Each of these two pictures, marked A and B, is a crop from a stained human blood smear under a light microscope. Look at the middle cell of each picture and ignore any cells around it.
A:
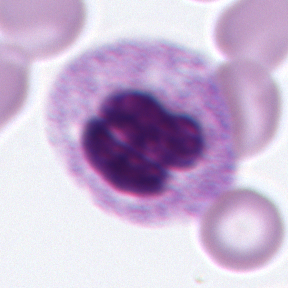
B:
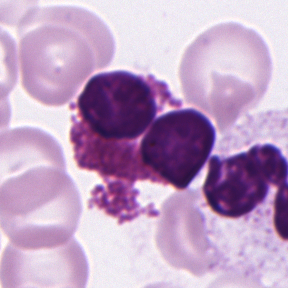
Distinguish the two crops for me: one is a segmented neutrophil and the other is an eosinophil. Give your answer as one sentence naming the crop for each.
At the centre of crop A lies a segmented neutrophil, and at the centre of crop B lies an eosinophil.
